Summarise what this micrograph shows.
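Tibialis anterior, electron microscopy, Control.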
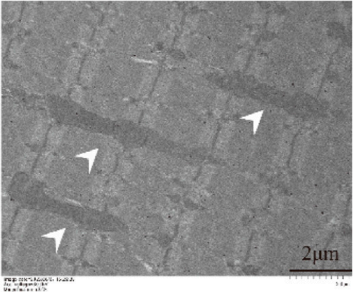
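A longitudinal electron micrograph of skeletal muscle shows myofibrils in parallel, crossed at regular intervals by thin dark transverse lines that mark off the sarcomeres. Between the myofibrils lie several elongated, dark grey mitochondria that stretch along the length of the fibre.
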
